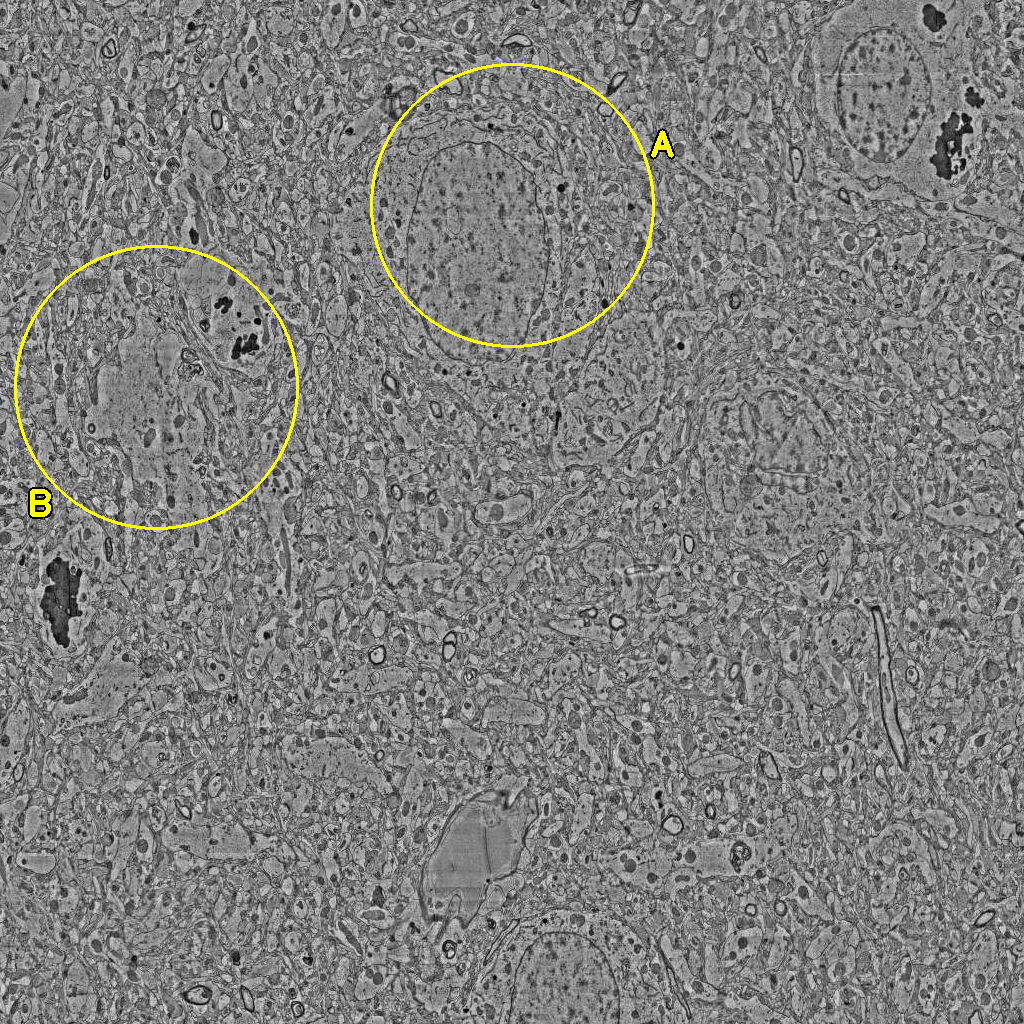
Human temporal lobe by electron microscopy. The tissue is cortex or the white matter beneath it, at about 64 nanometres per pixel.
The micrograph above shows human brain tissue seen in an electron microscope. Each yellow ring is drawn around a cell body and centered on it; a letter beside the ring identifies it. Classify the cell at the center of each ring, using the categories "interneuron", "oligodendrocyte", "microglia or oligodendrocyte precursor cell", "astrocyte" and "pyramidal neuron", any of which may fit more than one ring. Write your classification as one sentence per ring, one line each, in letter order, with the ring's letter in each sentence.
Ring A is centered on a pyramidal neuron.
Ring B is centered on an astrocyte.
